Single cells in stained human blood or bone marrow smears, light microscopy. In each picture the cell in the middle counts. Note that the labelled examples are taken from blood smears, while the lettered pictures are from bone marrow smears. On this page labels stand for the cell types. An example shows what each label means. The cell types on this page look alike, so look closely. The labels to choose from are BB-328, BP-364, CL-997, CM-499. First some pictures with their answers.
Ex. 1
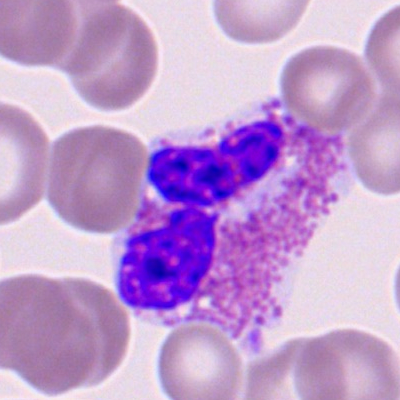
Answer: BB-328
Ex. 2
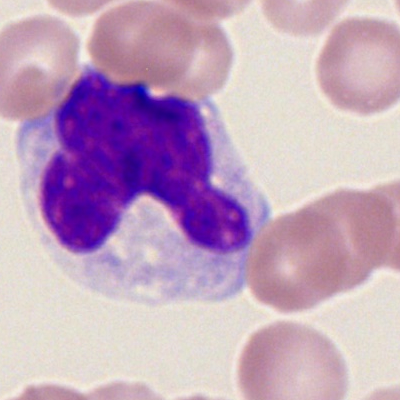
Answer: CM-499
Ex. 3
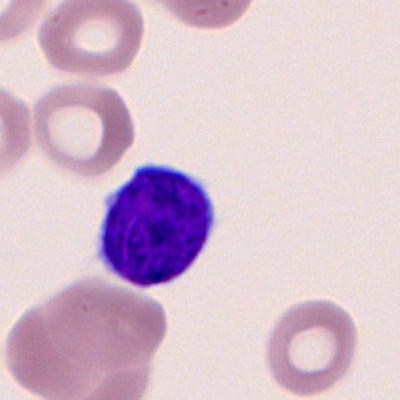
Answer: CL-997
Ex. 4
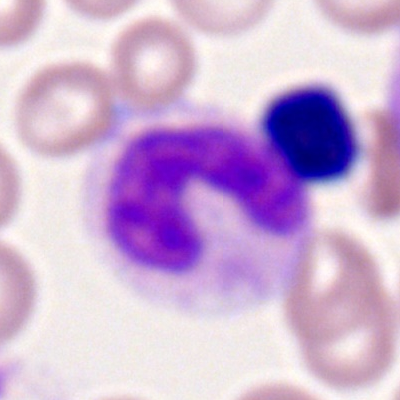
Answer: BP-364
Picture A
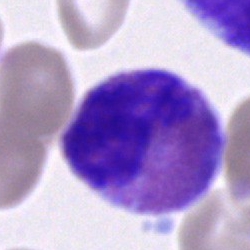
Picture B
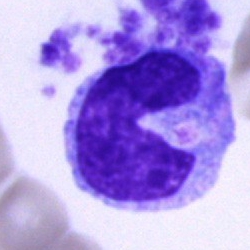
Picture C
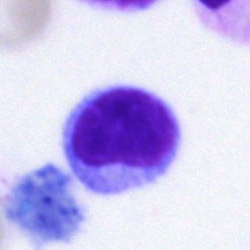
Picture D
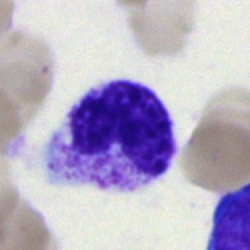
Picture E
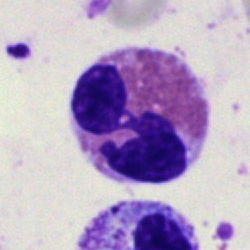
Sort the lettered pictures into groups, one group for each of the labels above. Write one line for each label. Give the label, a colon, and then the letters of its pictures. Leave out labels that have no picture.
BB-328: A, E
BP-364: D
CL-997: C
CM-499: B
